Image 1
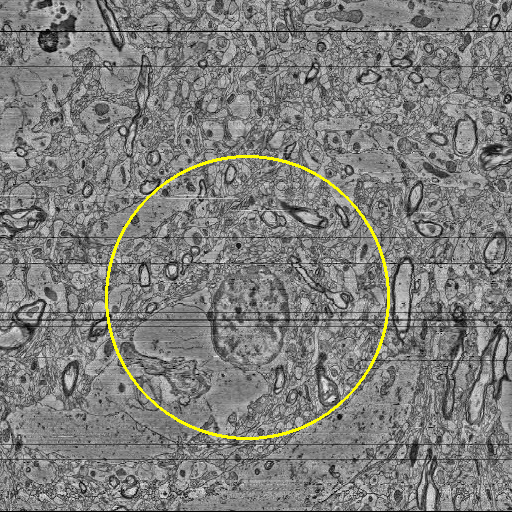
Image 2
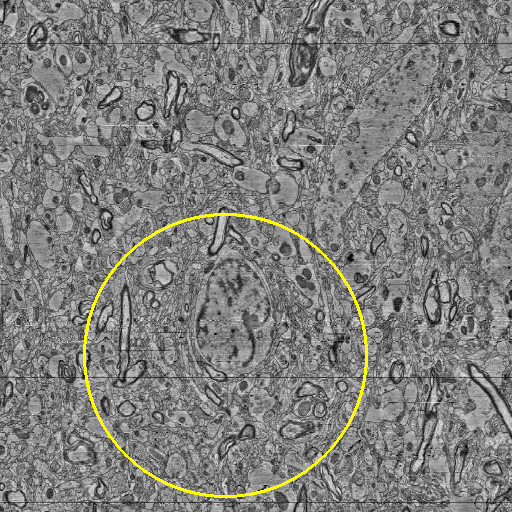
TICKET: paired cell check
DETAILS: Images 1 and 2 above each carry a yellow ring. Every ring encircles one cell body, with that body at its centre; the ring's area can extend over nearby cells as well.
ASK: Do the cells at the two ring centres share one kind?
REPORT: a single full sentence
No, the ring-centre cells of Images 1 and 2 belong to two kinds.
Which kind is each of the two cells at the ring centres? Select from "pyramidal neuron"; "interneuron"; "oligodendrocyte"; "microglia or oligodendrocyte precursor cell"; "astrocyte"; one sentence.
The cell at the centre of the ring is an oligodendrocyte in the first picture and a microglial cell or oligodendrocyte precursor cell in the second.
